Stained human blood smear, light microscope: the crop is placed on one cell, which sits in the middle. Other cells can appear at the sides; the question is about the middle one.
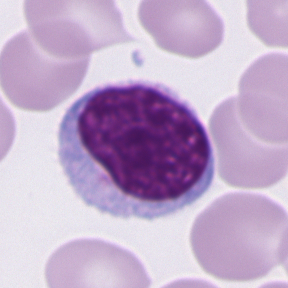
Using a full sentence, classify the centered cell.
Framed in the middle of the crop is a typical lymphocyte.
